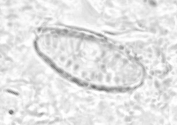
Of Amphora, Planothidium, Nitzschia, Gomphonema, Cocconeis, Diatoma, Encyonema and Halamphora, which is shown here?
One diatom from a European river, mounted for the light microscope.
Planothidium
